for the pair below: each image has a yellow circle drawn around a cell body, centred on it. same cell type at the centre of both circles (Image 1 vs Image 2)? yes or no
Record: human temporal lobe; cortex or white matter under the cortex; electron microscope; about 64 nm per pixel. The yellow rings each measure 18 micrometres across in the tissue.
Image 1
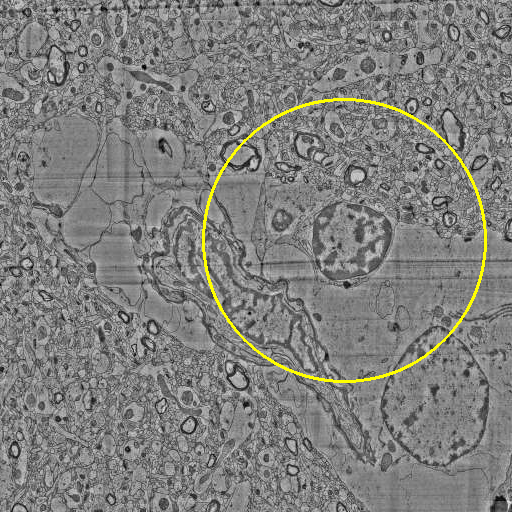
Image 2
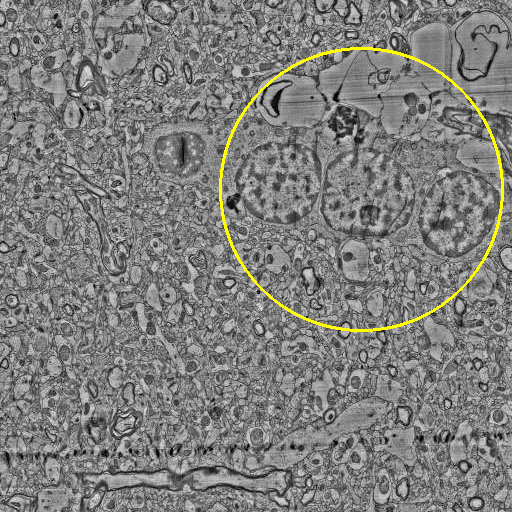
no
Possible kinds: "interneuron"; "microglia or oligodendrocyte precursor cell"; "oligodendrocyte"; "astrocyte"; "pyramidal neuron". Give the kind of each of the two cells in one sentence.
The cell in the second picture is an oligodendrocyte, and that in the first is a microglial cell or oligodendrocyte precursor cell.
